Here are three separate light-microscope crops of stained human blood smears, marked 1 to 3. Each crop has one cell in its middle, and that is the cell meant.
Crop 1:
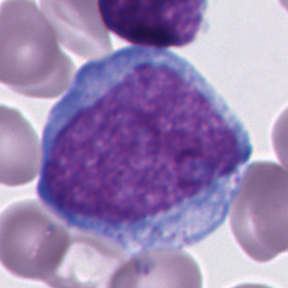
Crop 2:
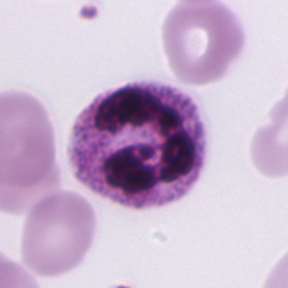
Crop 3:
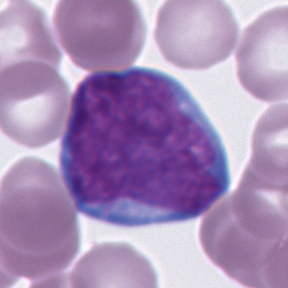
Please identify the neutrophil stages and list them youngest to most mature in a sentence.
Along the maturation pathway, from earliest to latest, the order is crop 3 (a blast), crop 1 (a promyelocyte) and crop 2 (a neutrophil).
